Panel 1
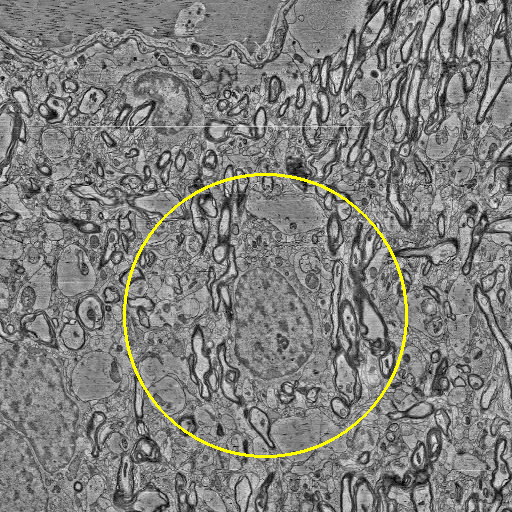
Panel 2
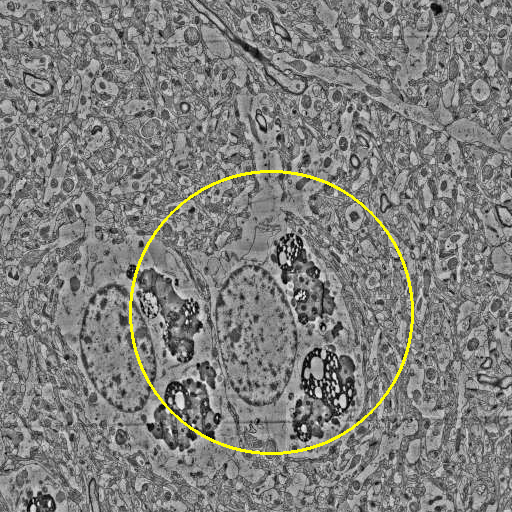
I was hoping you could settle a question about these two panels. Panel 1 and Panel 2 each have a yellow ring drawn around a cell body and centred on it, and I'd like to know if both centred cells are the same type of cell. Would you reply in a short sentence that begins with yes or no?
No, they are two types of cell.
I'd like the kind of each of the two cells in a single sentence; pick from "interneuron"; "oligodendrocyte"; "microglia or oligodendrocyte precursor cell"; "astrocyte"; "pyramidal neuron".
The first ring marks an oligodendrocyte, and the second ring marks an astrocyte.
